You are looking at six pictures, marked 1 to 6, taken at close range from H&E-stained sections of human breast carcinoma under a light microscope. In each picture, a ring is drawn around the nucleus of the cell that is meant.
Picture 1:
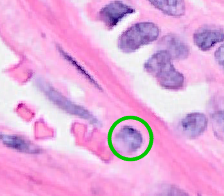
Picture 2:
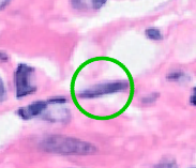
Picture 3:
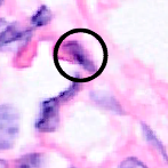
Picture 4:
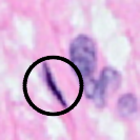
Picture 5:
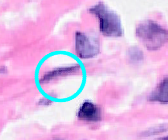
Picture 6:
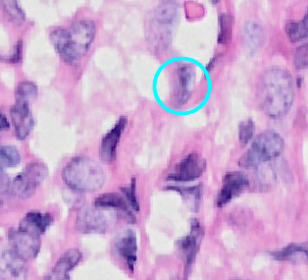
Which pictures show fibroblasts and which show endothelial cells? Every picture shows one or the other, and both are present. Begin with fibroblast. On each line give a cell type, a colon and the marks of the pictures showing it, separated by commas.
fibroblast: 2, 4, 5
endothelial cell: 1, 3, 6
